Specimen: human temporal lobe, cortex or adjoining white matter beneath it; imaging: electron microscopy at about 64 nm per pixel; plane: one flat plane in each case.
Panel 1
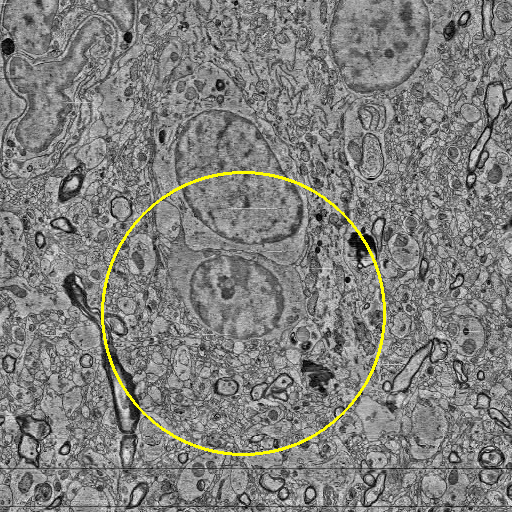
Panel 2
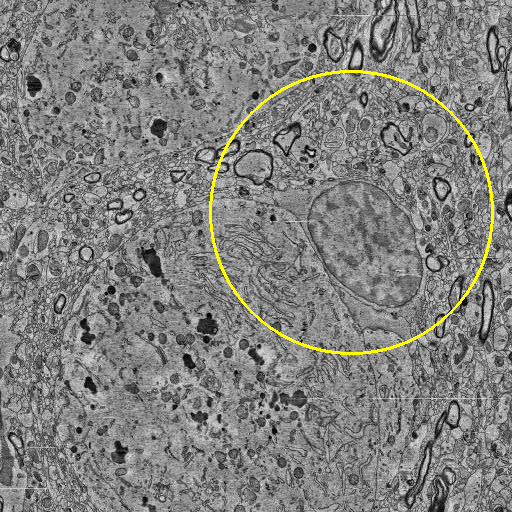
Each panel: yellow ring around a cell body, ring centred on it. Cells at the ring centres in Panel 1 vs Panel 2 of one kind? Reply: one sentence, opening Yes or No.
Yes, Panel 1 and Panel 2 have cells of one kind at the ring centres.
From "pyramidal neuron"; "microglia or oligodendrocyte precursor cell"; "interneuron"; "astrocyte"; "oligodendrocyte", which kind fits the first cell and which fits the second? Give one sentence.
Each cell, in the first picture and the second, is an oligodendrocyte.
